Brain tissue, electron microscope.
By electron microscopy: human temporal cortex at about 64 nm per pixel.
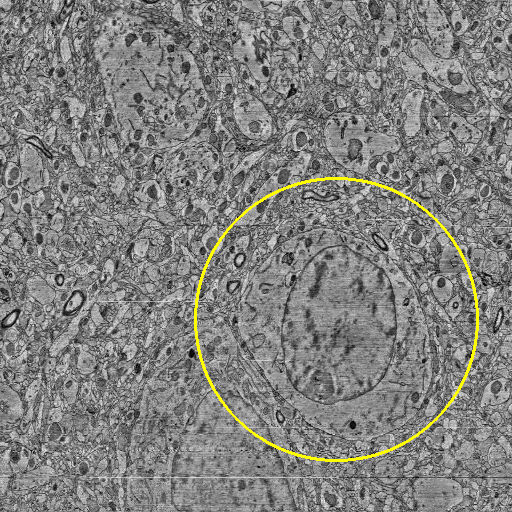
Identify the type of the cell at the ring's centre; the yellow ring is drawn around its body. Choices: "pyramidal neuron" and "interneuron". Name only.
pyramidal neuron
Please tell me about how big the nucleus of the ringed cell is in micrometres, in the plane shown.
In this plane, the nucleus is roughly 10 by 7 micrometres.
